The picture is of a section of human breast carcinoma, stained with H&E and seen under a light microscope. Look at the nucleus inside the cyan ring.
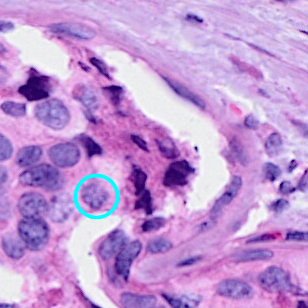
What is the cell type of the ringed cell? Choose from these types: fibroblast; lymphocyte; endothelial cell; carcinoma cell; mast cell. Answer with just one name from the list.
carcinoma cell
